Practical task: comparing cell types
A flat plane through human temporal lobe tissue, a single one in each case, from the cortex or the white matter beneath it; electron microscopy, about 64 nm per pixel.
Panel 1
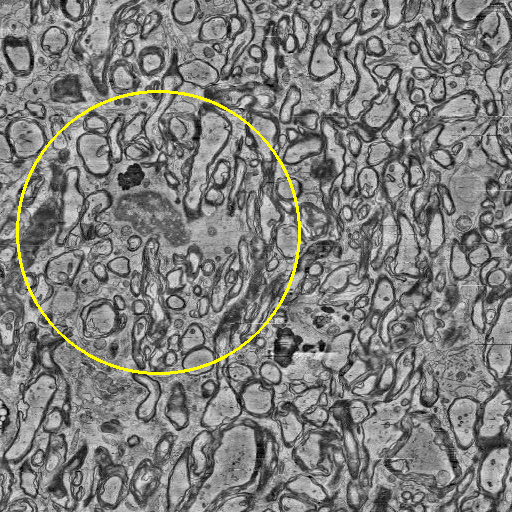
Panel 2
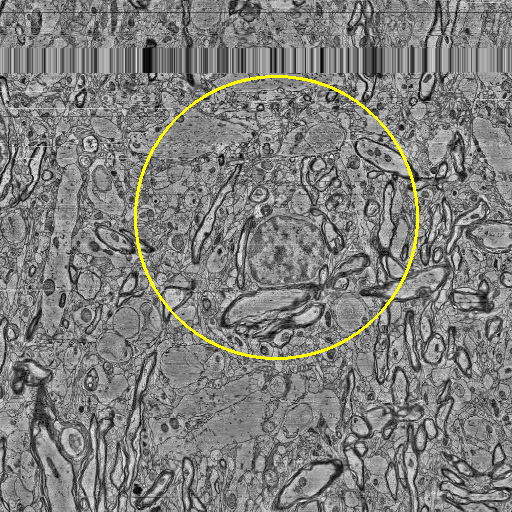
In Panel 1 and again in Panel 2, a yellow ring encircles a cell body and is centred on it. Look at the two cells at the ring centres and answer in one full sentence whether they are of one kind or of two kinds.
The two cells sitting at the ring centres of Panels 1 and 2 are of one kind.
